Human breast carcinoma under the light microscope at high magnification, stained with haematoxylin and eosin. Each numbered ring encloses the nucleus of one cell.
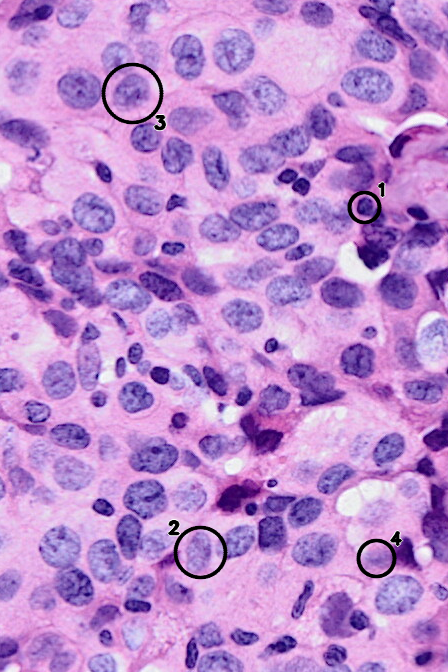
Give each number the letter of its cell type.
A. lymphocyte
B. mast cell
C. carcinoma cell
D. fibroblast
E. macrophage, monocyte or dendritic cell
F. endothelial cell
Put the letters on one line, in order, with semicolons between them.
A; C; C; C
